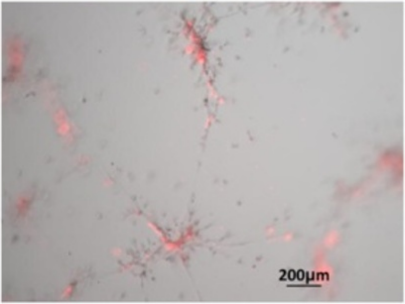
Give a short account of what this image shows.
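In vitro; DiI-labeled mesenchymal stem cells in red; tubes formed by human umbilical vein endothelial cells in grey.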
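Dark grey cell clusters sit at nodes from which thin, branching strands radiate and connect to neighbouring nodes. Red fluorescent cells are concentrated at and along these nodes and strands. Between the strands the field is largely empty, with scattered small dark particles.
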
